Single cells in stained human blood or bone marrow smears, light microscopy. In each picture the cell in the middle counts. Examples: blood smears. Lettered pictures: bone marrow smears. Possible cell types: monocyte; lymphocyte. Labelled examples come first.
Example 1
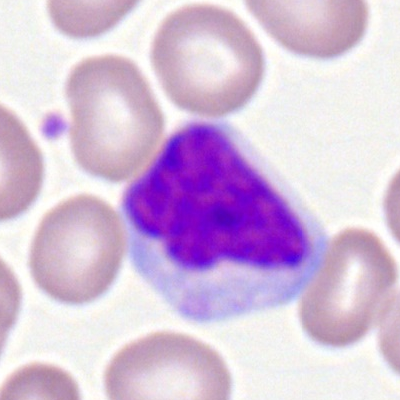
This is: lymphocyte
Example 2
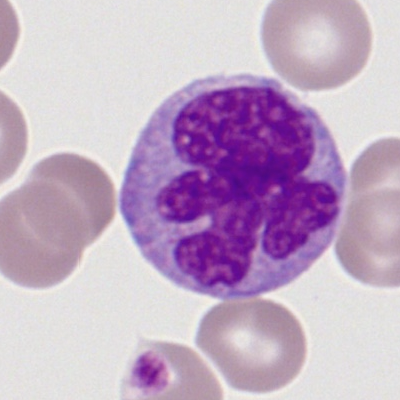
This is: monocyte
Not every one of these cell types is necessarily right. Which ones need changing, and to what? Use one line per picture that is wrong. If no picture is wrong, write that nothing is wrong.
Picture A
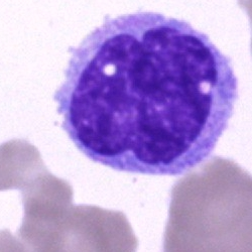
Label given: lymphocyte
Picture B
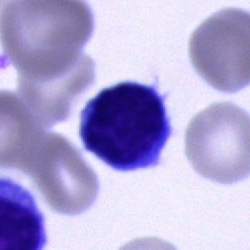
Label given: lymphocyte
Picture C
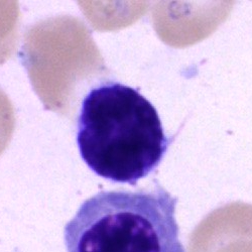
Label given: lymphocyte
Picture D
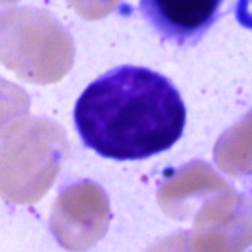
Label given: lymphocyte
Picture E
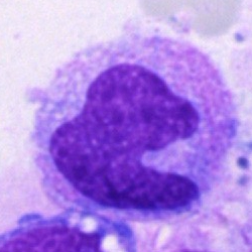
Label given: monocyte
A is labelled lymphocyte; correct label: monocyte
